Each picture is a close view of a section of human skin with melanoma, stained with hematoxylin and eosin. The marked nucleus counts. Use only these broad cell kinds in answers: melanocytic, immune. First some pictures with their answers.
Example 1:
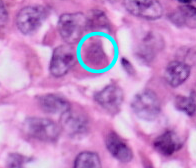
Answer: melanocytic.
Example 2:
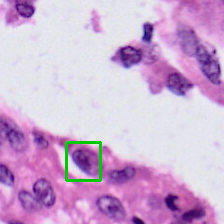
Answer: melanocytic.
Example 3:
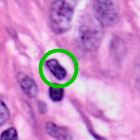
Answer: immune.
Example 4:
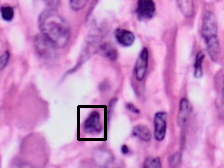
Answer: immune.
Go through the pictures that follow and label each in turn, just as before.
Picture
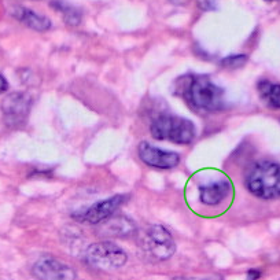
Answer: melanocytic.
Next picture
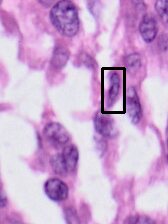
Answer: melanocytic.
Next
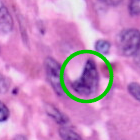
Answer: melanocytic.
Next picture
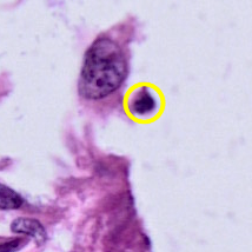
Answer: immune.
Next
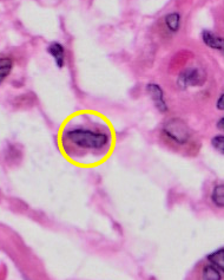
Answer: immune.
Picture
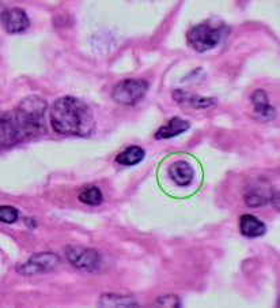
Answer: immune.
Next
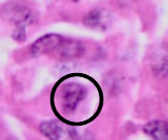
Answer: melanocytic.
